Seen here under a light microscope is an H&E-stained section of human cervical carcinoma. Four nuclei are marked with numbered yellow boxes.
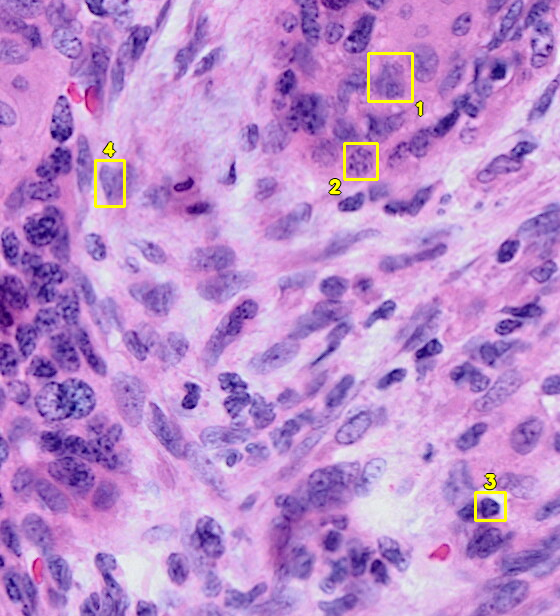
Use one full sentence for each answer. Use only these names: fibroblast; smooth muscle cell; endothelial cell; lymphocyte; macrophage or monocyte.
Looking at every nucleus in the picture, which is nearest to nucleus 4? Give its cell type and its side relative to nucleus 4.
It is a fibroblast, whose nucleus lies to the right of nucleus 4.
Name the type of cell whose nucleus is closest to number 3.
It is a lymphocyte whose nucleus is nearest to number 3.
